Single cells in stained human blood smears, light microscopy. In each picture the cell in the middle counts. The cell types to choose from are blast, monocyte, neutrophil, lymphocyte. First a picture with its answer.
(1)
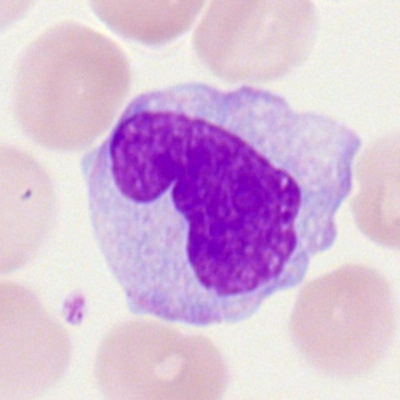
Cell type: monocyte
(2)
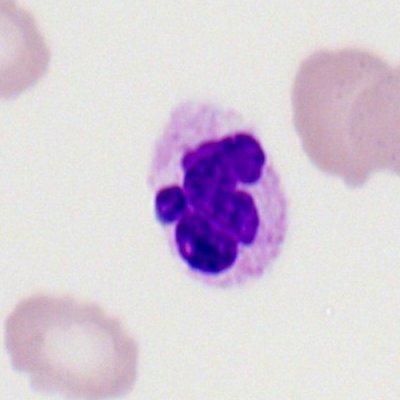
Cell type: neutrophil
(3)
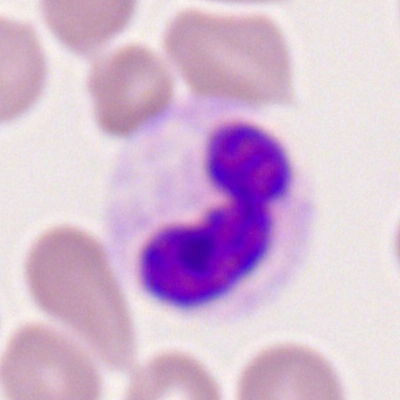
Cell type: neutrophil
